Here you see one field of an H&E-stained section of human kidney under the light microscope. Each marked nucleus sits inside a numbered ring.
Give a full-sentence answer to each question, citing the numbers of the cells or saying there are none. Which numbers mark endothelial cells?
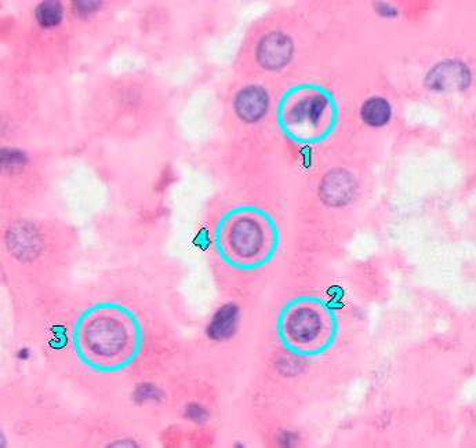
Only one of the numbered nuclei, number 1, belongs to an endothelial cell.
